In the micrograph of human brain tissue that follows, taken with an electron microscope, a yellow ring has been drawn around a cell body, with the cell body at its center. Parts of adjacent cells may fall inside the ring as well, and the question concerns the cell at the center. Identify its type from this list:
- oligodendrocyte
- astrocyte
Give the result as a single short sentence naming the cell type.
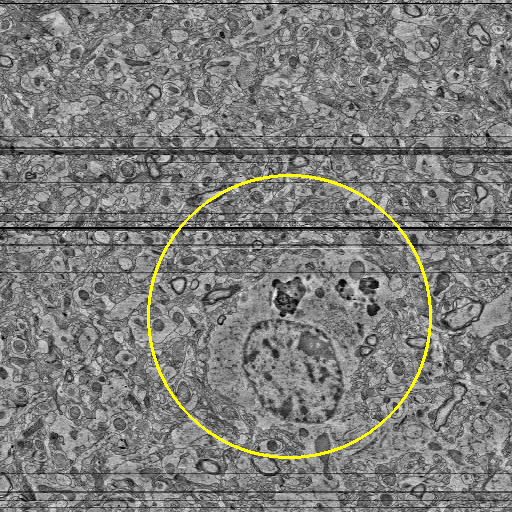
The ring is centered on an astrocyte.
